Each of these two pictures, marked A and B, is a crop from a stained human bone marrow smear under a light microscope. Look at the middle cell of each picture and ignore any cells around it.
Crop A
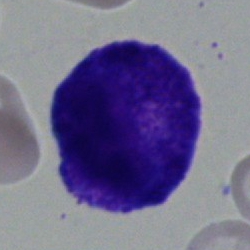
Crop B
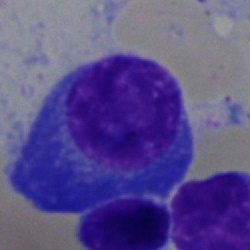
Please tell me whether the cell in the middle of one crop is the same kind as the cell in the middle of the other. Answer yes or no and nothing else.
no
